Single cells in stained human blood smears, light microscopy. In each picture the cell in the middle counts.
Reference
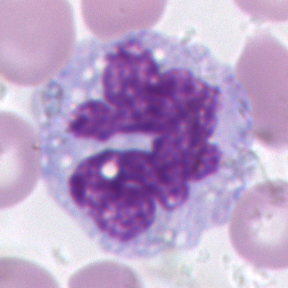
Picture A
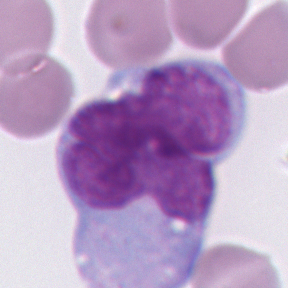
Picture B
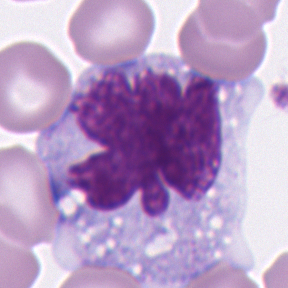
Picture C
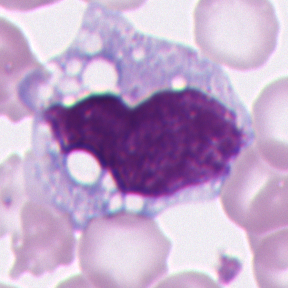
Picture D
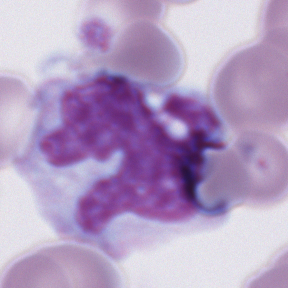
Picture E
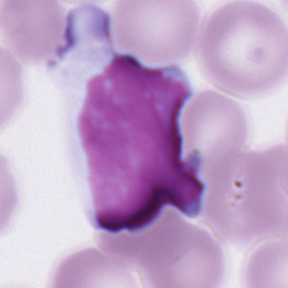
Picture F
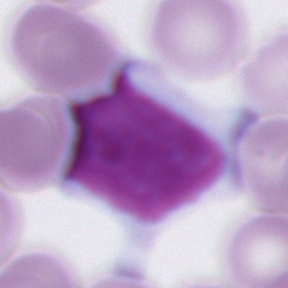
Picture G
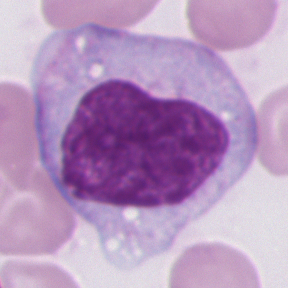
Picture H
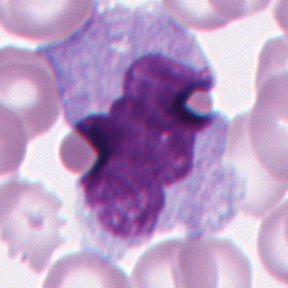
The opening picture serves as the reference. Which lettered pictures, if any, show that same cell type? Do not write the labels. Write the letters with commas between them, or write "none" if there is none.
A, B, C, D, G, H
